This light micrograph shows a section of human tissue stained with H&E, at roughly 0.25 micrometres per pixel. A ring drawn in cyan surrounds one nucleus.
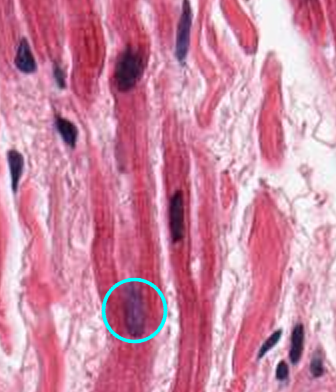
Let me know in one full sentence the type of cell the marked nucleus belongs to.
The nucleus indicated by the mark belongs to a cardiomyocyte.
